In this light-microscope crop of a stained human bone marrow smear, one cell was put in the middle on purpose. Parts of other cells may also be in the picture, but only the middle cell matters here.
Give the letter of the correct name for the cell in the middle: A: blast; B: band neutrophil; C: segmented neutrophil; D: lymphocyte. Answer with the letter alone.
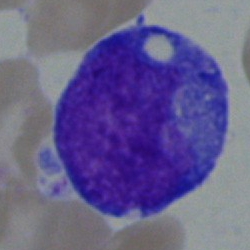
A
